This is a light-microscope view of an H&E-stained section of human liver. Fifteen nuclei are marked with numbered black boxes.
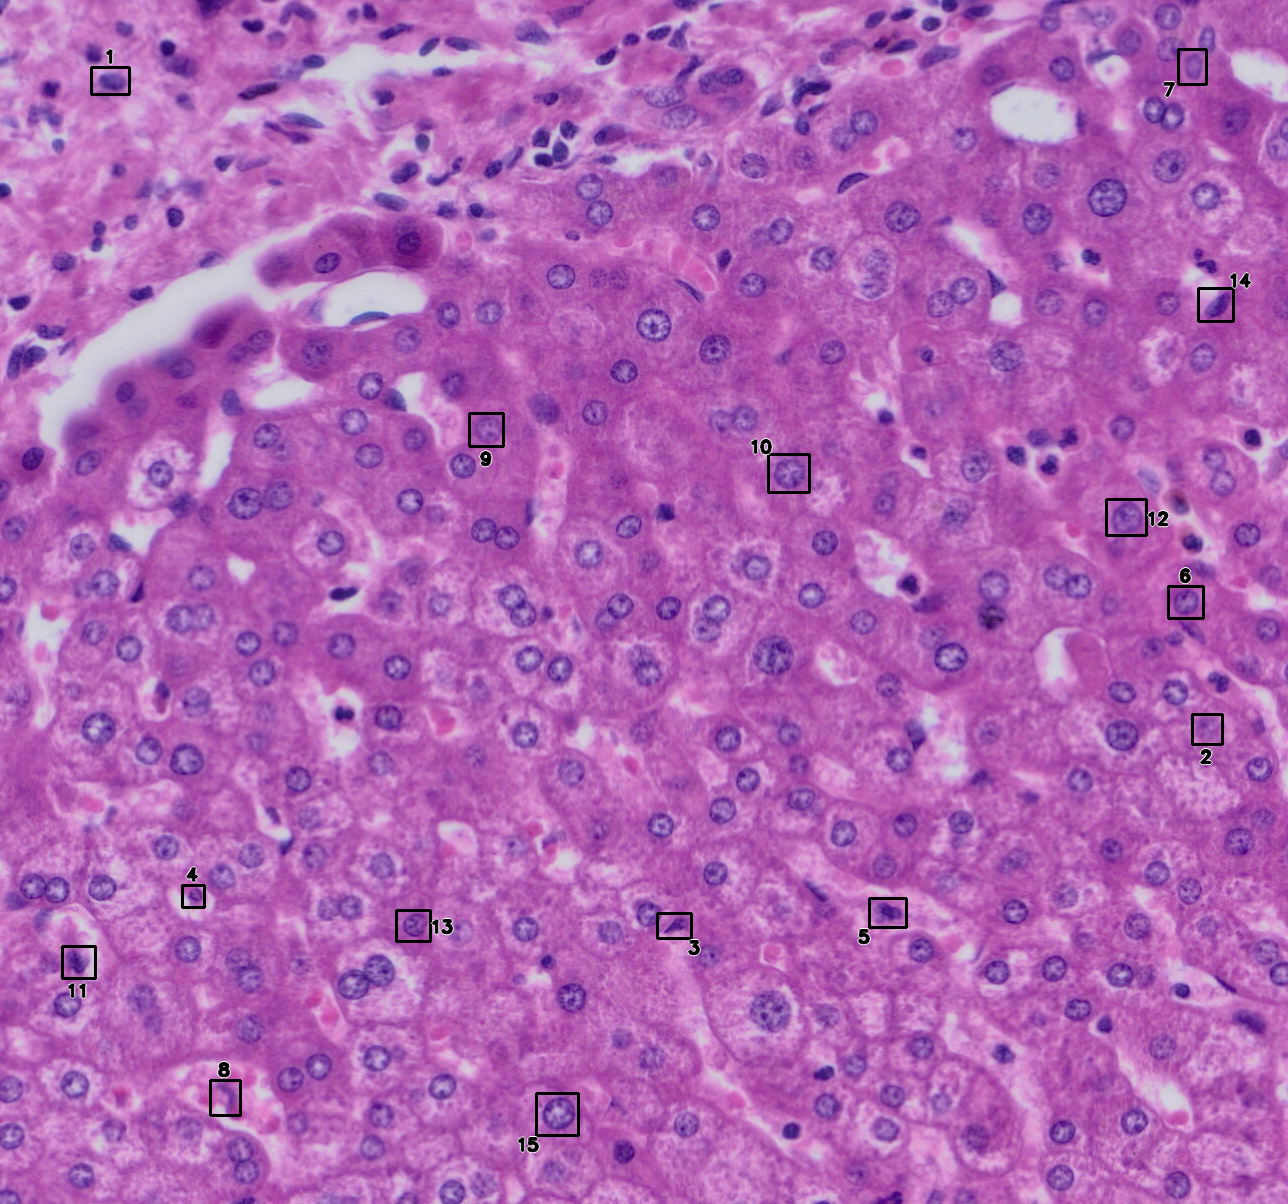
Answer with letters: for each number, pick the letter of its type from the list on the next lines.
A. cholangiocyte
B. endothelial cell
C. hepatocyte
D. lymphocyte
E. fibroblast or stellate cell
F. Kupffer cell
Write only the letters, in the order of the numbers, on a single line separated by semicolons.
E; C; B; F; F; C; A; F; C; C; F; C; C; E; C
